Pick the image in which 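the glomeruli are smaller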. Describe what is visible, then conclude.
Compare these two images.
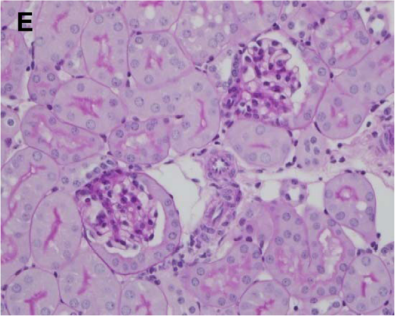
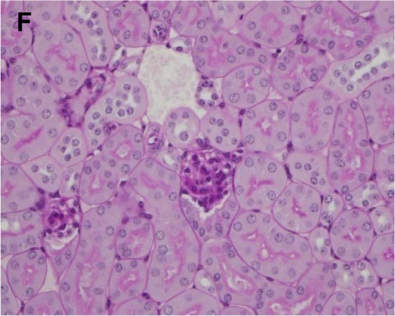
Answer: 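The second image. Second image: the glomerular tufts are small relative to the surrounding tubules. First image: the glomerular tufts are large, with a wide capsule around them.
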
